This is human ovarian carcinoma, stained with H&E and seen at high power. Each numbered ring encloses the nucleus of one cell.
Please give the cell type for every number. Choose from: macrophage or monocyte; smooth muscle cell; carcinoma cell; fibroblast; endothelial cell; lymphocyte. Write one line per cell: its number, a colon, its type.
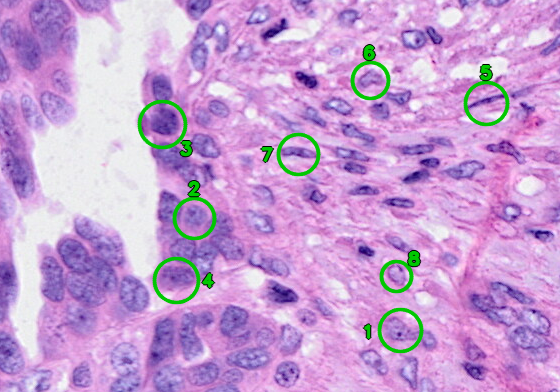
1: fibroblast
2: carcinoma cell
3: carcinoma cell
4: carcinoma cell
5: fibroblast
6: fibroblast
7: fibroblast
8: fibroblast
